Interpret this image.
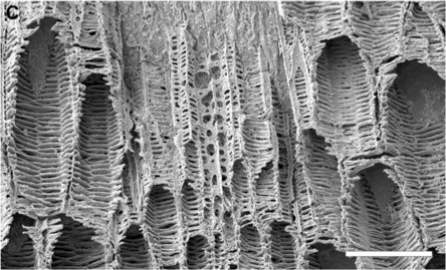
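The wide, elongated cells on either side are metaxylem tracheids, and their walls carry many rows of closely spaced, ladder-like bars, the scalariform thickening. Toward the middle run narrower cells with finer wall thickenings, the protoxylem strands. The cells are empty, so the inner faces of their walls can be looked at directly.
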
